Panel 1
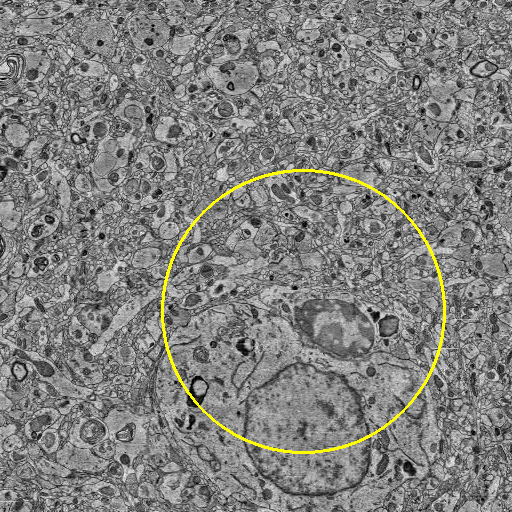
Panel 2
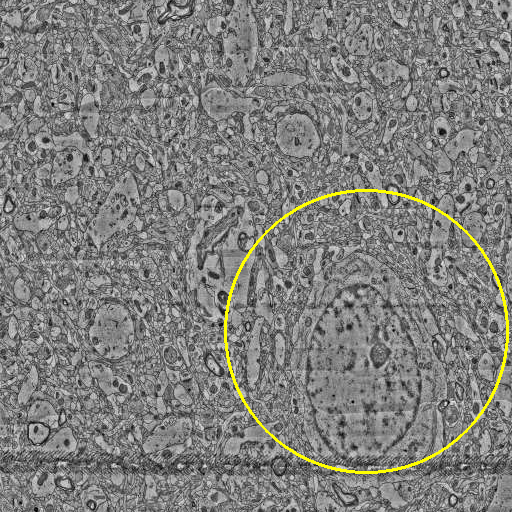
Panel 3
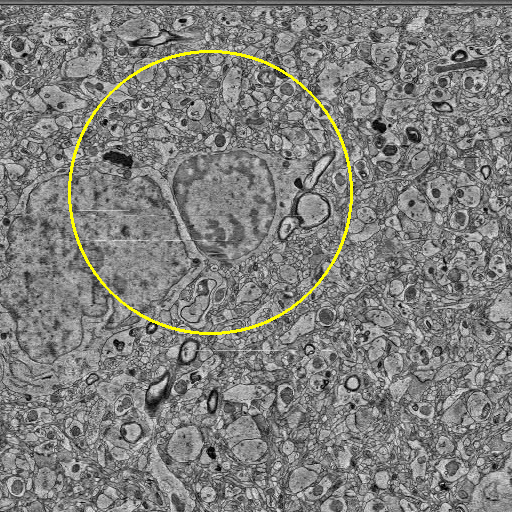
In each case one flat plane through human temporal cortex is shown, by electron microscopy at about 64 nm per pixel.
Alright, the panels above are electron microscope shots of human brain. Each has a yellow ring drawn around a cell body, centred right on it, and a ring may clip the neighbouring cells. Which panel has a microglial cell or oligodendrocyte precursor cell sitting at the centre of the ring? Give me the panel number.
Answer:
1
